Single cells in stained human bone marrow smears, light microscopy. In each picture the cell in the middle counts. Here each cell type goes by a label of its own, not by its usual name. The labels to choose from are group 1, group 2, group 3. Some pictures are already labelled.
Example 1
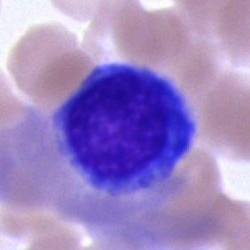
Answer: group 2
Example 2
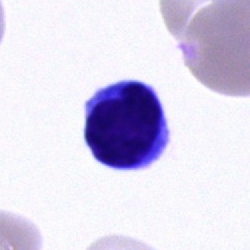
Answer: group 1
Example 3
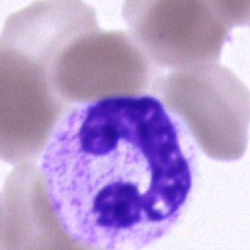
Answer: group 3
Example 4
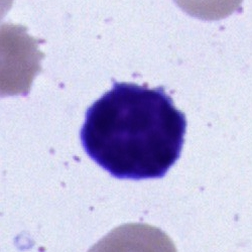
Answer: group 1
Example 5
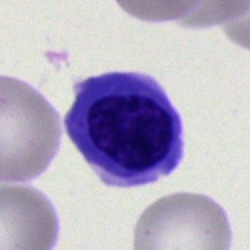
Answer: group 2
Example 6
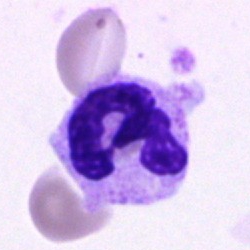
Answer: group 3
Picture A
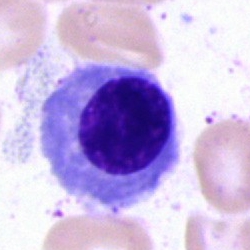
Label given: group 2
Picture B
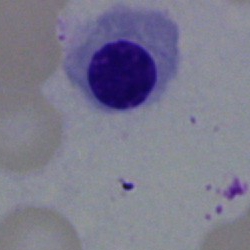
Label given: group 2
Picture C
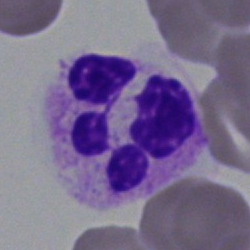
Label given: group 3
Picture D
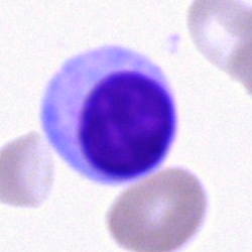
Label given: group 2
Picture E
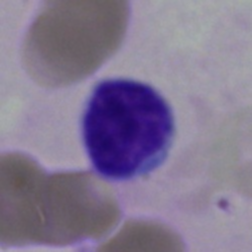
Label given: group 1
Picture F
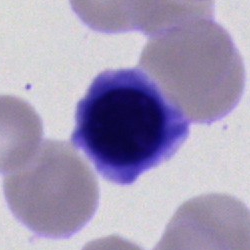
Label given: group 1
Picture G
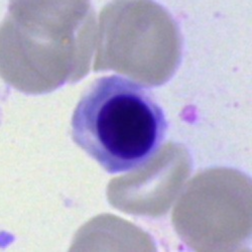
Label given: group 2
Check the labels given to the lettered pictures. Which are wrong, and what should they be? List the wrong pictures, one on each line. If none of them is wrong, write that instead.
D: group 1, not group 2
F: group 2, not group 1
